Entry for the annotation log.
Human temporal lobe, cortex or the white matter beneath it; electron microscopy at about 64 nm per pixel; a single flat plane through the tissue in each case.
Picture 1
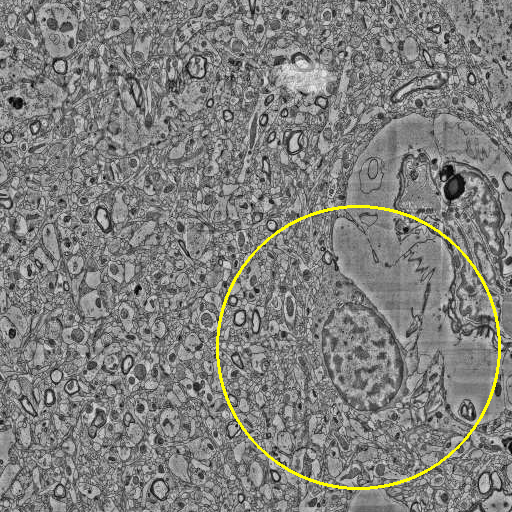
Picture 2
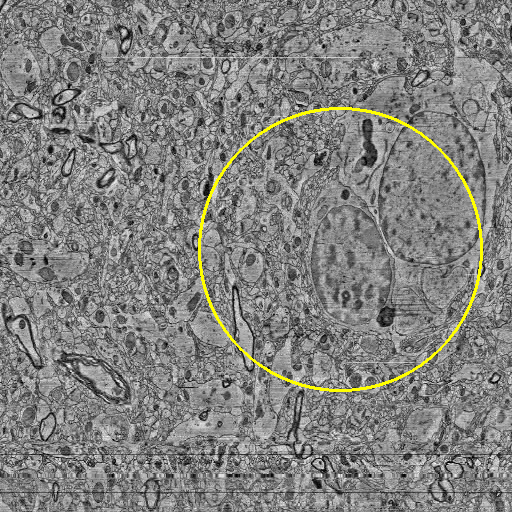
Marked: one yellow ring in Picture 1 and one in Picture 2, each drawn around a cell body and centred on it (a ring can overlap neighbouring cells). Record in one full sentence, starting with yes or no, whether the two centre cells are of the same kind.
Yes, both cells are of the same kind.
